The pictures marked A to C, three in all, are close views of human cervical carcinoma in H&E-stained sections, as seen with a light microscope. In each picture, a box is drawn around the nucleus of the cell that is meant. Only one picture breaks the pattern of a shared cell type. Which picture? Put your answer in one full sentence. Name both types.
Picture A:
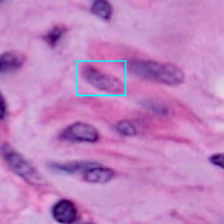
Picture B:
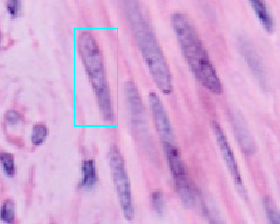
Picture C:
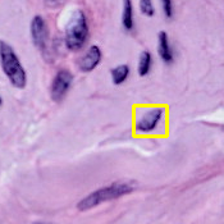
Picture C is the odd one out: it shows a fibroblast, while the others show smooth muscle cells.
